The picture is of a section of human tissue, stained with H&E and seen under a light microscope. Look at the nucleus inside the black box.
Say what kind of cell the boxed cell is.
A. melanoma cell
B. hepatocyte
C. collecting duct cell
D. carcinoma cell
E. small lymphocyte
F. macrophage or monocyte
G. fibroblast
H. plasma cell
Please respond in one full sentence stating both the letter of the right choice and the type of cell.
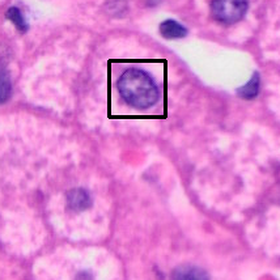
Option B gets it right: the boxed cell is a hepatocyte.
